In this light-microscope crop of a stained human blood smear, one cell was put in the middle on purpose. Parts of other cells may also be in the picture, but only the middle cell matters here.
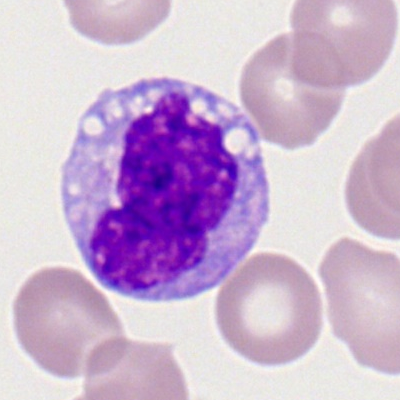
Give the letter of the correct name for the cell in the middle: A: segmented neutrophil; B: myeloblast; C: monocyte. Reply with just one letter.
C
